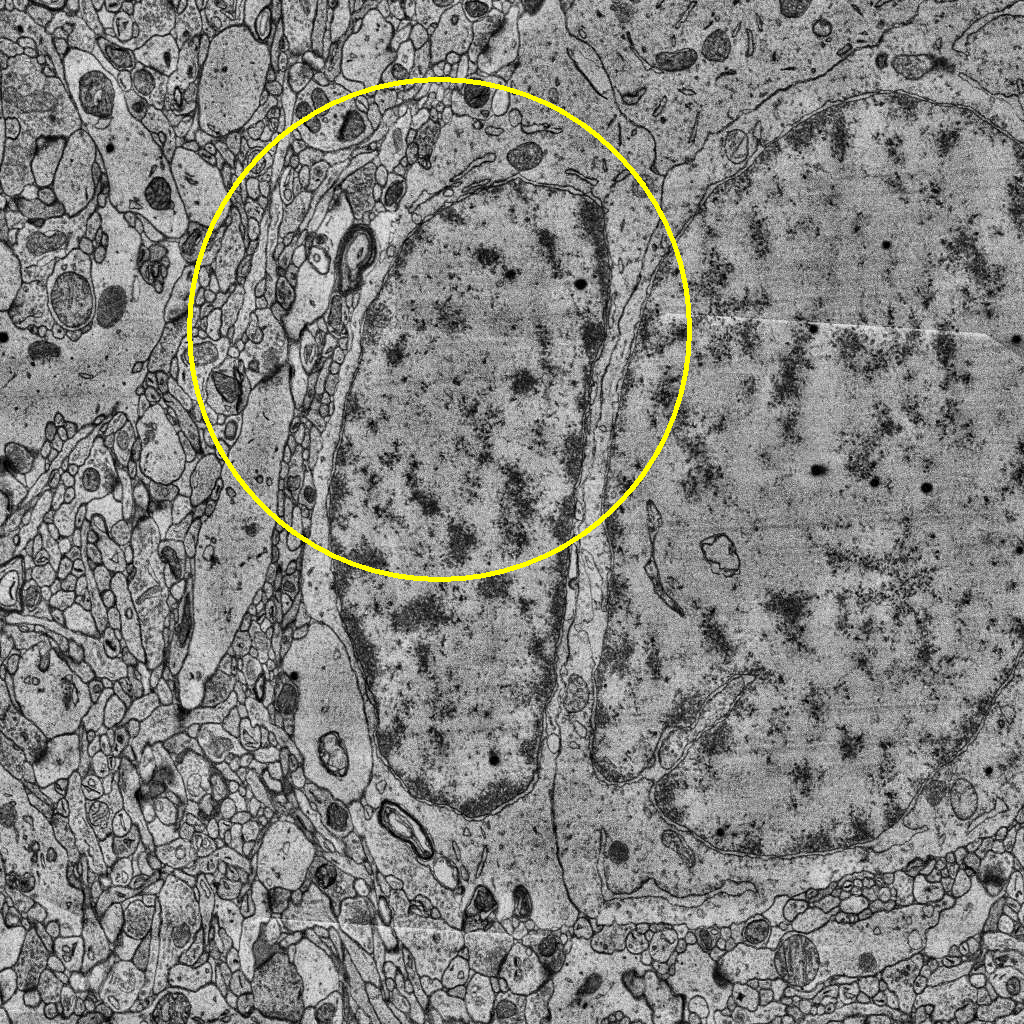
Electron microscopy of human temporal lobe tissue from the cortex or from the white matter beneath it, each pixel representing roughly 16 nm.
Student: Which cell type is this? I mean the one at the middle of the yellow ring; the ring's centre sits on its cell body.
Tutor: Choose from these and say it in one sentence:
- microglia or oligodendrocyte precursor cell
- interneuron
The cell at the ring's centre is a microglial cell or oligodendrocyte precursor cell.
